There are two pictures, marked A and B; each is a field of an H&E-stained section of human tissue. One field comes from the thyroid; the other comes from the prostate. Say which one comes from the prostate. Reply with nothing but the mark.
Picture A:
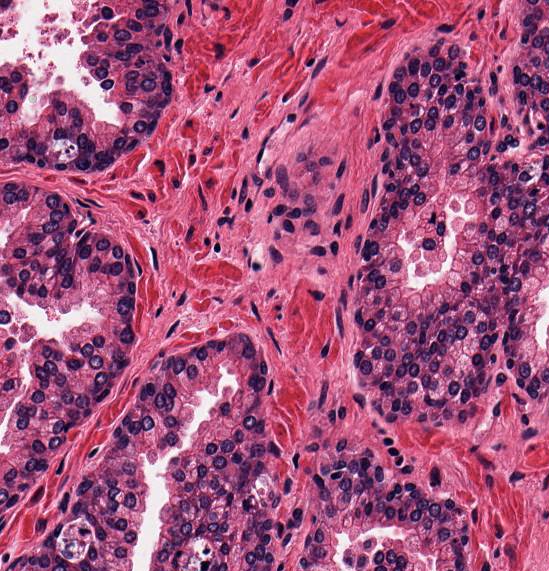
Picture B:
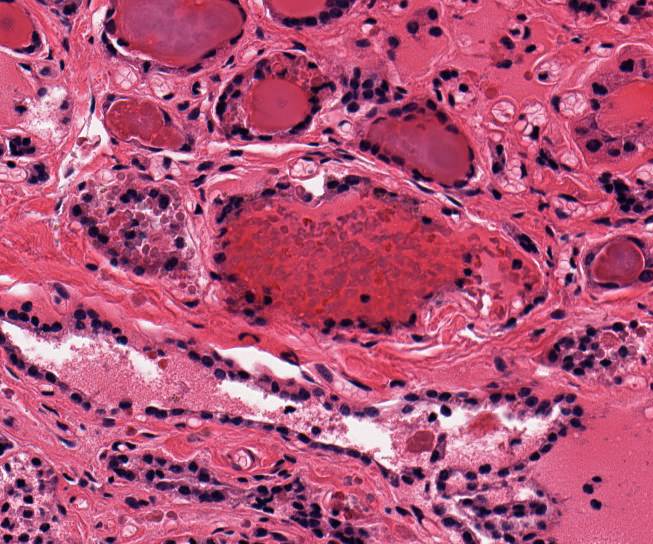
A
